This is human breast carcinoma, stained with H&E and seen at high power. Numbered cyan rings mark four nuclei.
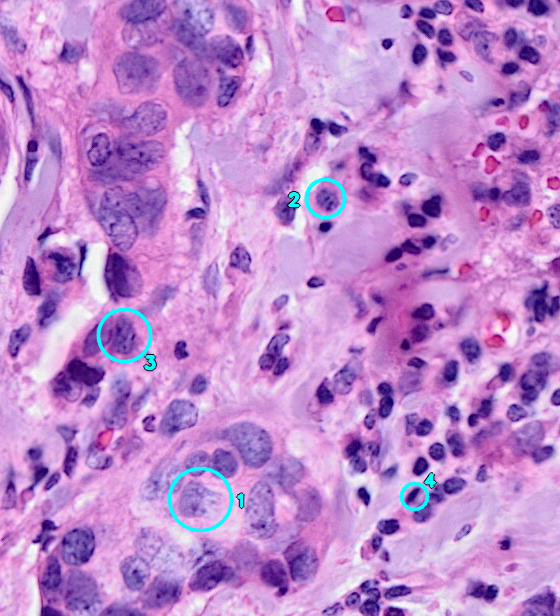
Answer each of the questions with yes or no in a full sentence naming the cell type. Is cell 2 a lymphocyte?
No, the correct answer for cell 2 is a mast cell, not a lymphocyte.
